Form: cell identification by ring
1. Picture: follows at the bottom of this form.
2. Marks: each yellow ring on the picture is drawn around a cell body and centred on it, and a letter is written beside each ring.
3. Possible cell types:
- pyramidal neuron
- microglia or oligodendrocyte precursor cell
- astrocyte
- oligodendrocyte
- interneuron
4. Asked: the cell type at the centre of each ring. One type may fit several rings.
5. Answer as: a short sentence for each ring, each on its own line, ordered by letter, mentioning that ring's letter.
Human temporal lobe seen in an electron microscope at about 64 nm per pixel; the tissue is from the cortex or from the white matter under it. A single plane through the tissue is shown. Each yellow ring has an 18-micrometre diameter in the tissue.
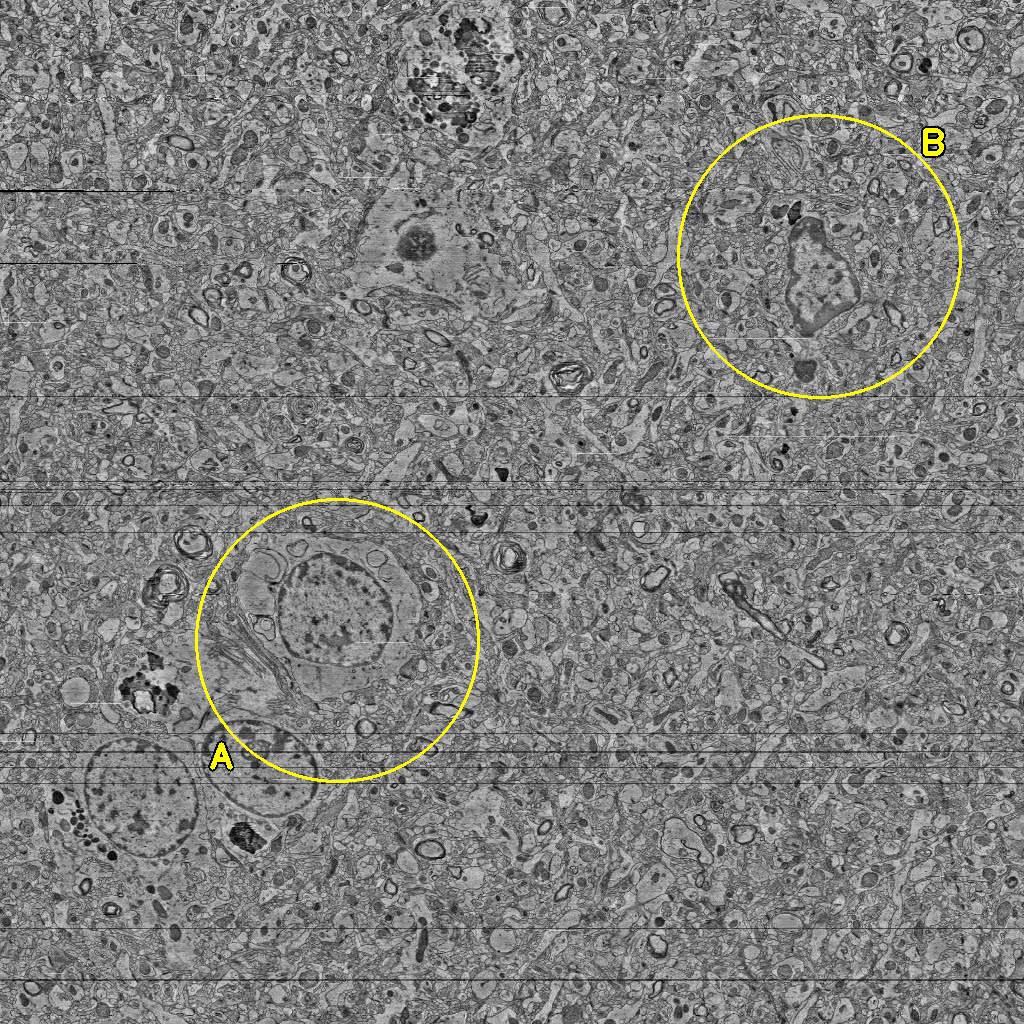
The cell at ring A's centre is an astrocyte.
The cell at ring B's centre is a microglial cell or oligodendrocyte precursor cell.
